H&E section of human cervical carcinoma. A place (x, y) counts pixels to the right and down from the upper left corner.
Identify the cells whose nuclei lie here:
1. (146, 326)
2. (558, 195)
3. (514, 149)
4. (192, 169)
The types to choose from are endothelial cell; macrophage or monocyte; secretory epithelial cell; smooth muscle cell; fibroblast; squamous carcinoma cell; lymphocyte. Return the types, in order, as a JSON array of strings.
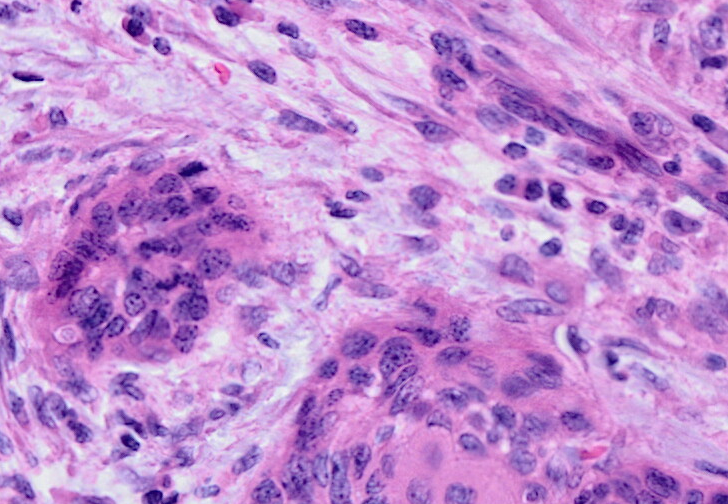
["squamous carcinoma cell", "lymphocyte", "lymphocyte", "squamous carcinoma cell"]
